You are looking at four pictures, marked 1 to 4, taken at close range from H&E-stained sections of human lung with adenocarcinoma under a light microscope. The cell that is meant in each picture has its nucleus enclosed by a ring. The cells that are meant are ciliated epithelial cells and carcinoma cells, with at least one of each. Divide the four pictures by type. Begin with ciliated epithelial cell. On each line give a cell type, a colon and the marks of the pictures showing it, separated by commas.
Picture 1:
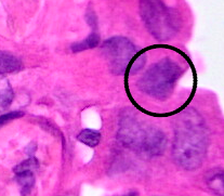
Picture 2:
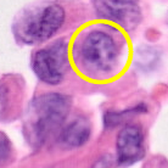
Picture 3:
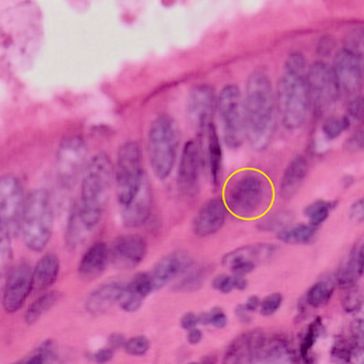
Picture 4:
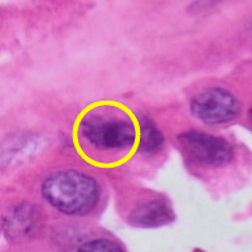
ciliated epithelial cell: 3
carcinoma cell: 1, 2, 4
